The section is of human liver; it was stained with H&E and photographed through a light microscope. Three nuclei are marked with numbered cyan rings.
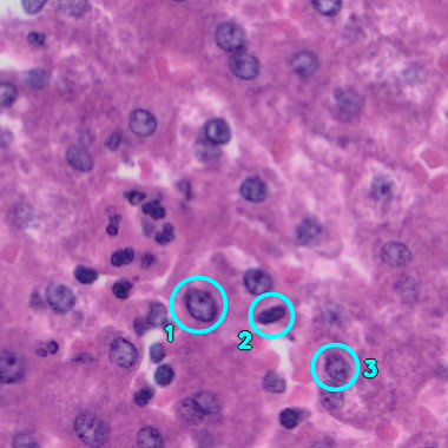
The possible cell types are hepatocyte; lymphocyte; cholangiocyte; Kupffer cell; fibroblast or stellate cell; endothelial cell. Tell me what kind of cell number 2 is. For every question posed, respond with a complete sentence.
Nucleus 2 in this section belongs to a fibroblast or stellate cell.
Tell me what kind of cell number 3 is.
The cell assigned the number 3 is a hepatocyte.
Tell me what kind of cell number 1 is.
Cell 1 in the field of view is a hepatocyte.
